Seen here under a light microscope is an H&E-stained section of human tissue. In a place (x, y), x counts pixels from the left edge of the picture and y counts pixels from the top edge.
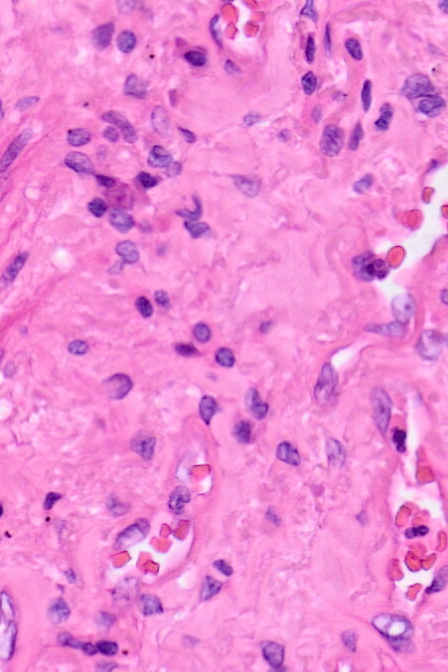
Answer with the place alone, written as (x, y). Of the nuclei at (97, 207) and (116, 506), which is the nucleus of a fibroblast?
(116, 506)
